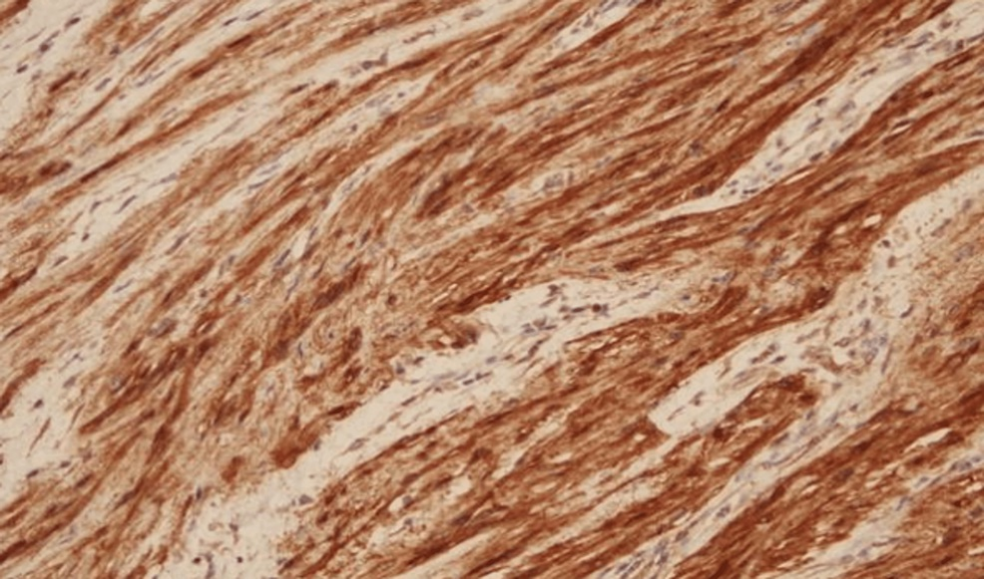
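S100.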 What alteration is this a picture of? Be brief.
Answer: Schwannoma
